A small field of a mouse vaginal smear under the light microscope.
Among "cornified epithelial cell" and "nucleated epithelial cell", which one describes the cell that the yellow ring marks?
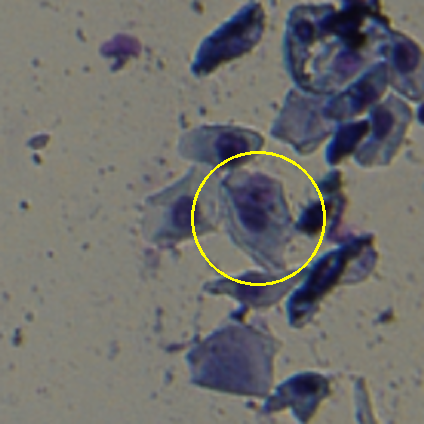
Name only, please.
nucleated epithelial cell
